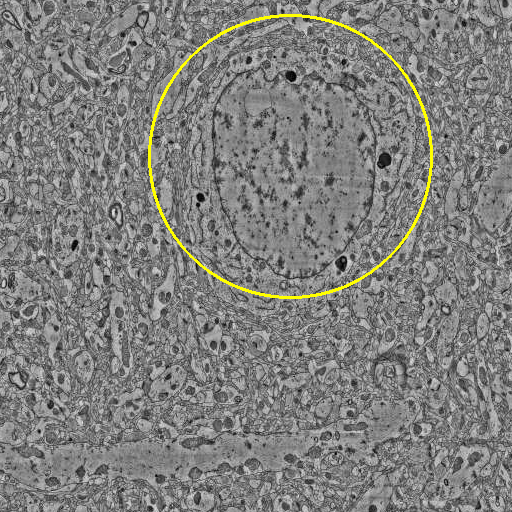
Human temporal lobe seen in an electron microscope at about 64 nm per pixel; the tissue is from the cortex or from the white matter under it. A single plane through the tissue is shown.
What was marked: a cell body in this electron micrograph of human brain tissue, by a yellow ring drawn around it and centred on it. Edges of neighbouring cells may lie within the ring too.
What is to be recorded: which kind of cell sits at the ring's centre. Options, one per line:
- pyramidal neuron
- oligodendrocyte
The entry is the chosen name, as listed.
pyramidal neuron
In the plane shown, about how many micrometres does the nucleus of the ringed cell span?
About 14 micrometres by about 11 micrometres in this plane.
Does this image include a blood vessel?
No, a blood vessel is absent from this picture.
